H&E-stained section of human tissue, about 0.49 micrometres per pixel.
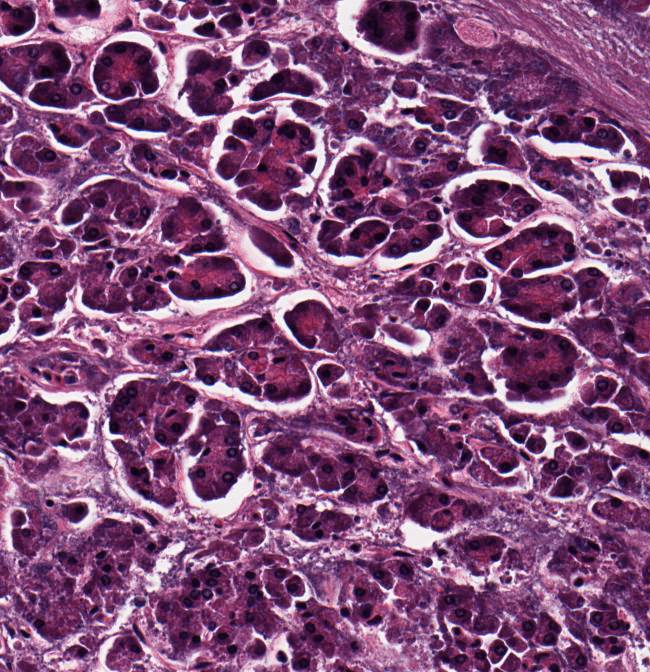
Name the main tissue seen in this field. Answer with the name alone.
exocrine pancreas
